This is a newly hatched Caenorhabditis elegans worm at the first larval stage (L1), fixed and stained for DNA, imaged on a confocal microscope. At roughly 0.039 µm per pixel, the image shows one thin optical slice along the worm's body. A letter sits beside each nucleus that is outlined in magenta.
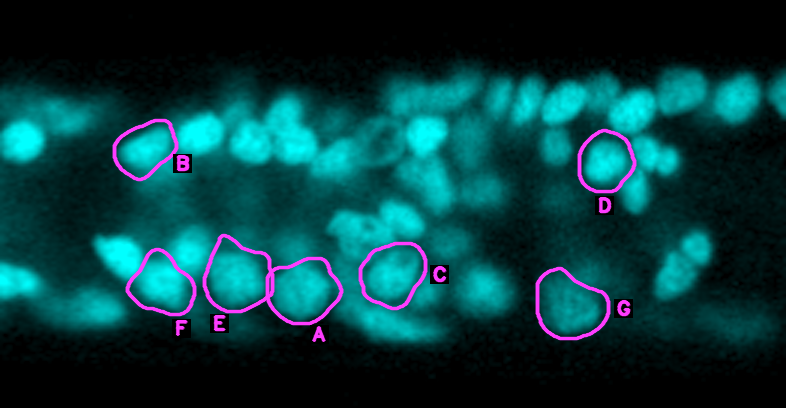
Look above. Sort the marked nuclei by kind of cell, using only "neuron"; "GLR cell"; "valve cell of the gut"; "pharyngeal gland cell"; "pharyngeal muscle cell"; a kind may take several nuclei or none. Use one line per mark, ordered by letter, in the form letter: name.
A: neuron
B: GLR cell
C: pharyngeal muscle cell
D: pharyngeal gland cell
E: neuron
F: neuron
G: pharyngeal muscle cell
